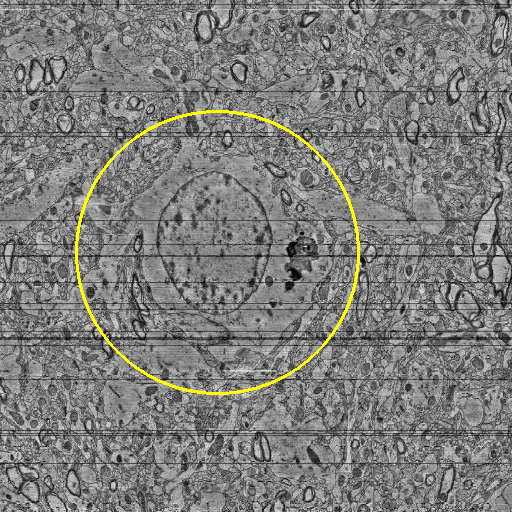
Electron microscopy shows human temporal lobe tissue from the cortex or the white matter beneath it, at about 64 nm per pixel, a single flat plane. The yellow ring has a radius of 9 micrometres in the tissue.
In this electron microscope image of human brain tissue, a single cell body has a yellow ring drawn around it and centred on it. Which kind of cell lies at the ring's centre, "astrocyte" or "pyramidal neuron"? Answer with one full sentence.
It is an astrocyte whose cell body lies at the centre of the yellow ring here.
